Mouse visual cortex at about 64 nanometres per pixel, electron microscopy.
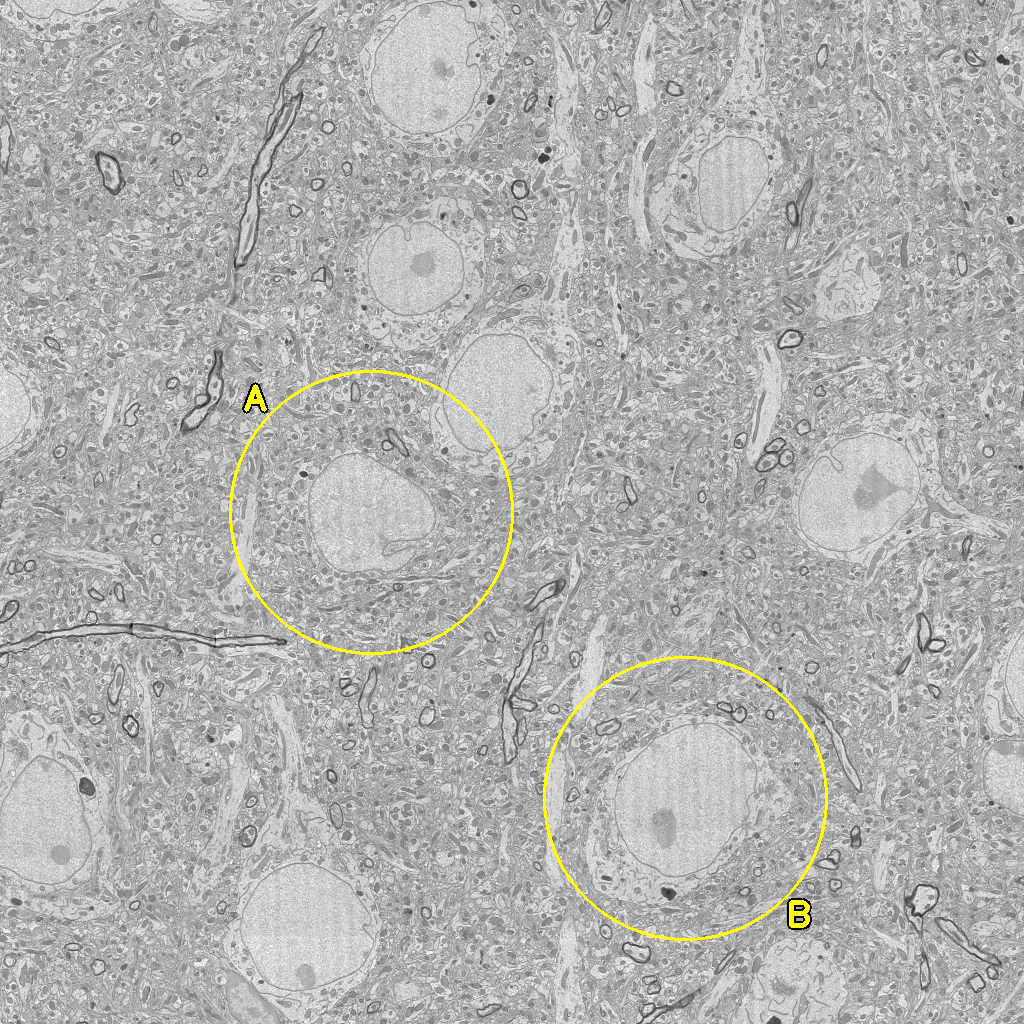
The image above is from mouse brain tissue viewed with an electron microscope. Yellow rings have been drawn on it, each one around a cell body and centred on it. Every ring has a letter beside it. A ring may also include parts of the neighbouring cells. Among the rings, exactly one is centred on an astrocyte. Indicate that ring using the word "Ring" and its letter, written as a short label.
Ring A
